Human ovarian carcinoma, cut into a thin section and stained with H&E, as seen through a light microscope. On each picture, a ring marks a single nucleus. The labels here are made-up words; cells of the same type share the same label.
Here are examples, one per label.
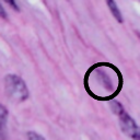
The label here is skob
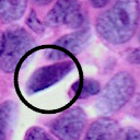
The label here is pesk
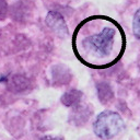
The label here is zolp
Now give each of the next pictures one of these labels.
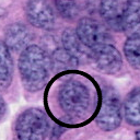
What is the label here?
pesk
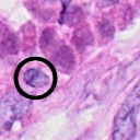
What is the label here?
zolp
